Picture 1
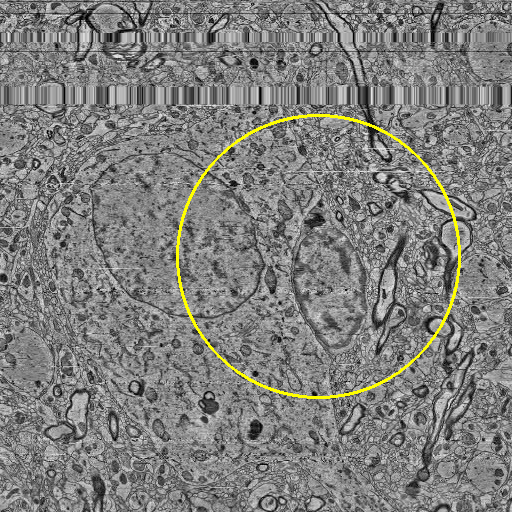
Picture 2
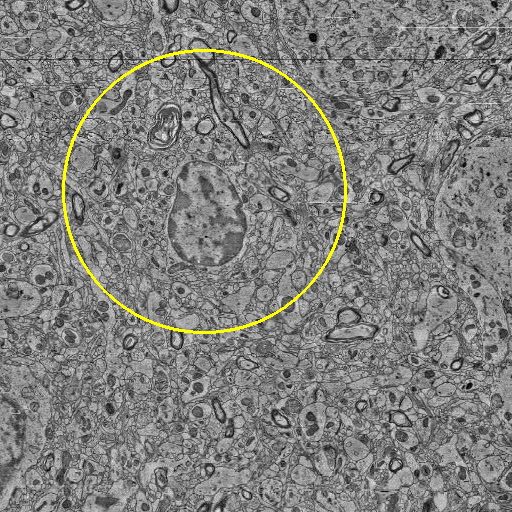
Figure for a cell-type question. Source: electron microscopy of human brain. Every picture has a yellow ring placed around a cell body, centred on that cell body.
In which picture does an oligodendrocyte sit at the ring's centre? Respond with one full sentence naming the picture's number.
The cell in the middle of the ring in picture 1 is the one sought.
